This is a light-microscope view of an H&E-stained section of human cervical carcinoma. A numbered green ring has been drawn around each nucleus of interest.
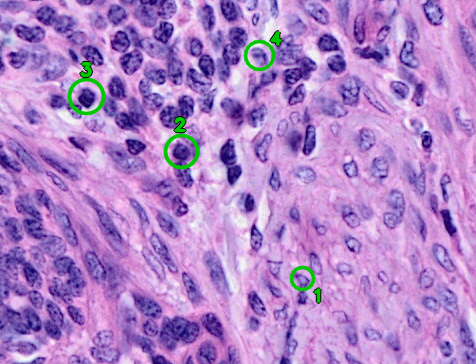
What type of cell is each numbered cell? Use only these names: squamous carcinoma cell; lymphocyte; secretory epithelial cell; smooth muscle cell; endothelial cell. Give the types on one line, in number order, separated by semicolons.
smooth muscle cell; lymphocyte; lymphocyte; lymphocyte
